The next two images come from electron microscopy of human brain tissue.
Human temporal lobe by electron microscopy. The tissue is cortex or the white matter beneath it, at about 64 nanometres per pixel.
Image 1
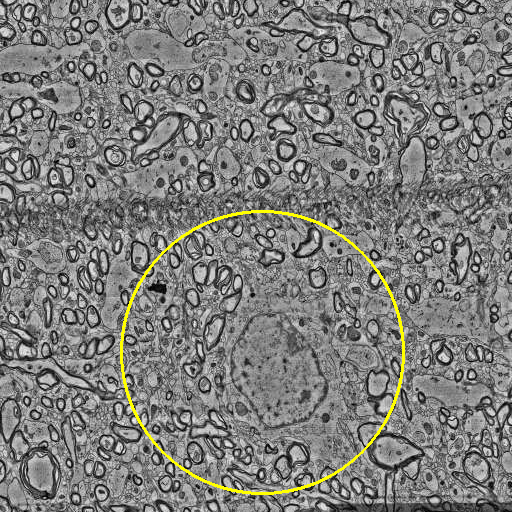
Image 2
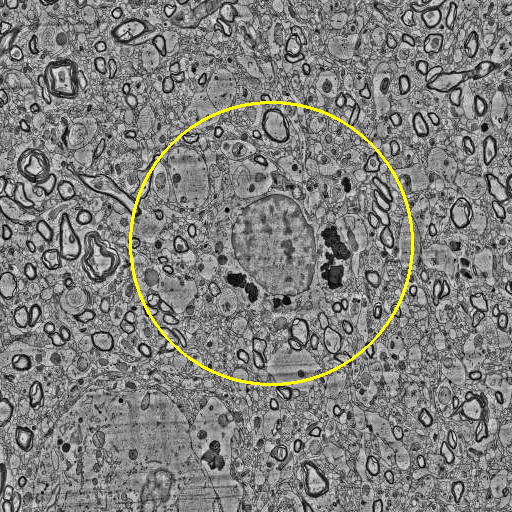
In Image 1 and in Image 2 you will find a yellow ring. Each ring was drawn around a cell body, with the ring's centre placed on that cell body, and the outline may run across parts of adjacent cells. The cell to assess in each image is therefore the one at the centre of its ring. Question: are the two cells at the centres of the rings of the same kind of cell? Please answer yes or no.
no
